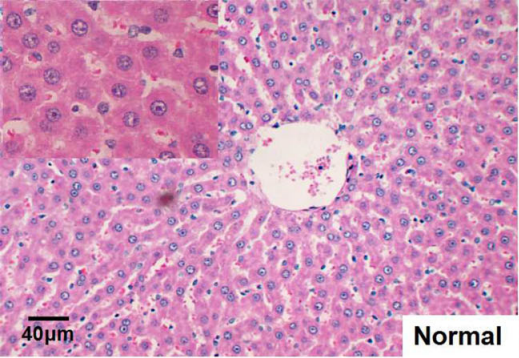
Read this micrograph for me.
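Liver tissue with plates of polygonal parenchymal cells radiating from a central vein that contains a few red blood cells. The cells have round, central nuclei with distinct nucleoli and evenly pink cytoplasm. Open sinusoids run between the plates toward the vein. No clusters of small dark nuclei are seen among the plates. An inset shows the cells at higher magnification with clear nuclear outlines.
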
